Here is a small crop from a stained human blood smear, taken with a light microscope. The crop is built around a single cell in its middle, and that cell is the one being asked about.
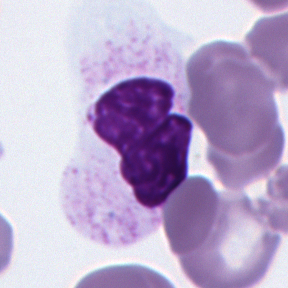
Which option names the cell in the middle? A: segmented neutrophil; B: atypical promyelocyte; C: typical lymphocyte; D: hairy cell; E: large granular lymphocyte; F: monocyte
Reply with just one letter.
A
